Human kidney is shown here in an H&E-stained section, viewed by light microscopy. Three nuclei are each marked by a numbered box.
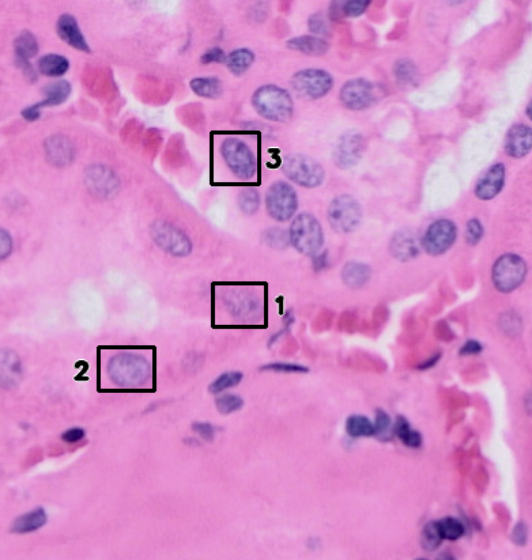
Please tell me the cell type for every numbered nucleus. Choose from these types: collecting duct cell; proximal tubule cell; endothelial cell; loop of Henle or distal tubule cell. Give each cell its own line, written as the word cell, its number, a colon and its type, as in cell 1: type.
cell 1: proximal tubule cell
cell 2: proximal tubule cell
cell 3: collecting duct cell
